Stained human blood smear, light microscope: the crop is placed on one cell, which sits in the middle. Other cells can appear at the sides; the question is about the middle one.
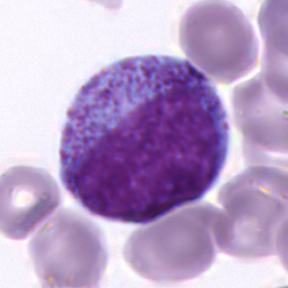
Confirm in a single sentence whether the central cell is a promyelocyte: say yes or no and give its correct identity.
Yes, the cell in the central position is a promyelocyte.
